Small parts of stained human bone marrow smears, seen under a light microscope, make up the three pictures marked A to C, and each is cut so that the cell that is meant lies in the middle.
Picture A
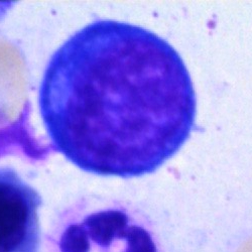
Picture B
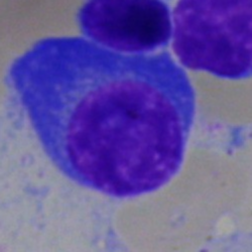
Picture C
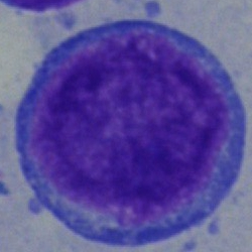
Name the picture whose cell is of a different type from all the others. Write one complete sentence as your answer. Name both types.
The different one is picture B; it shows a plasma cell, whereas all the others show proerythroblasts.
